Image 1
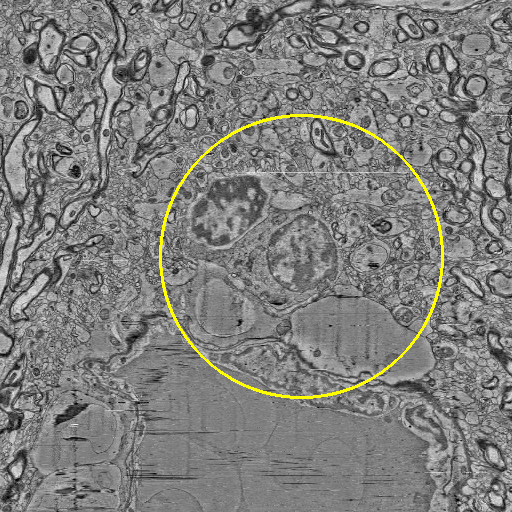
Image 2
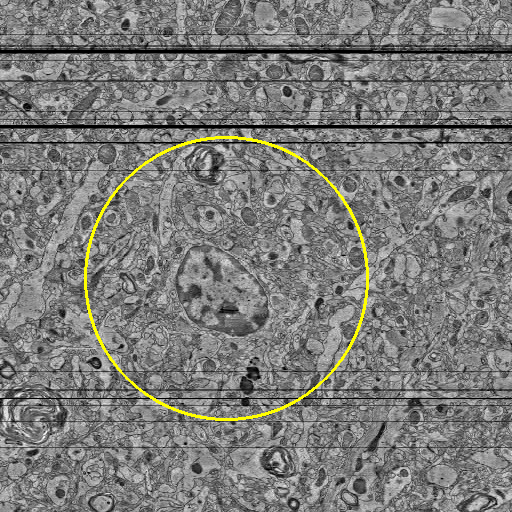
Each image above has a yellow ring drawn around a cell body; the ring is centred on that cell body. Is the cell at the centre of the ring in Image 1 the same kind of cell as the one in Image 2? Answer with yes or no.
no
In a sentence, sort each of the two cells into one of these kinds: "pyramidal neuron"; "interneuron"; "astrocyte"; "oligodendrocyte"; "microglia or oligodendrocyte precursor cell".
The first of the two cells is an oligodendrocyte, and the second is a microglial cell or oligodendrocyte precursor cell.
